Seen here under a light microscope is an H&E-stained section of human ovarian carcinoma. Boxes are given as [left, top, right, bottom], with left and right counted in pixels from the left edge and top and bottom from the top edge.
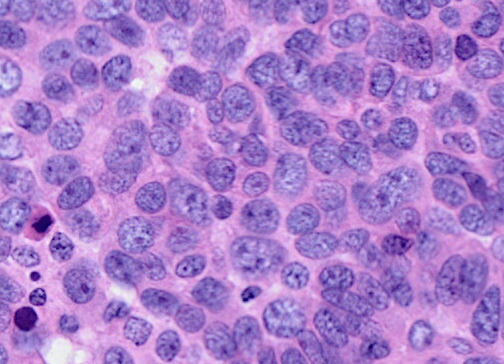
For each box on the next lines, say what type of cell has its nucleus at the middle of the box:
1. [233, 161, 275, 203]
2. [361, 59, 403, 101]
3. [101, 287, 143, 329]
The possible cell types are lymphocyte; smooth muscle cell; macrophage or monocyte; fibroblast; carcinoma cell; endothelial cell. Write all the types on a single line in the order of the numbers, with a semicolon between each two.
carcinoma cell; carcinoma cell; macrophage or monocyte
